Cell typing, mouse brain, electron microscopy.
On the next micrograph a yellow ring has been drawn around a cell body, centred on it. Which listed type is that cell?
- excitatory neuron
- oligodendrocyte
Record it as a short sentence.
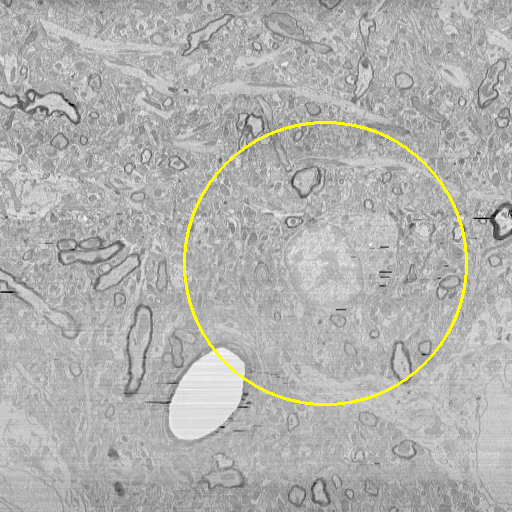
The cell body in the ring's centre belongs to an oligodendrocyte.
